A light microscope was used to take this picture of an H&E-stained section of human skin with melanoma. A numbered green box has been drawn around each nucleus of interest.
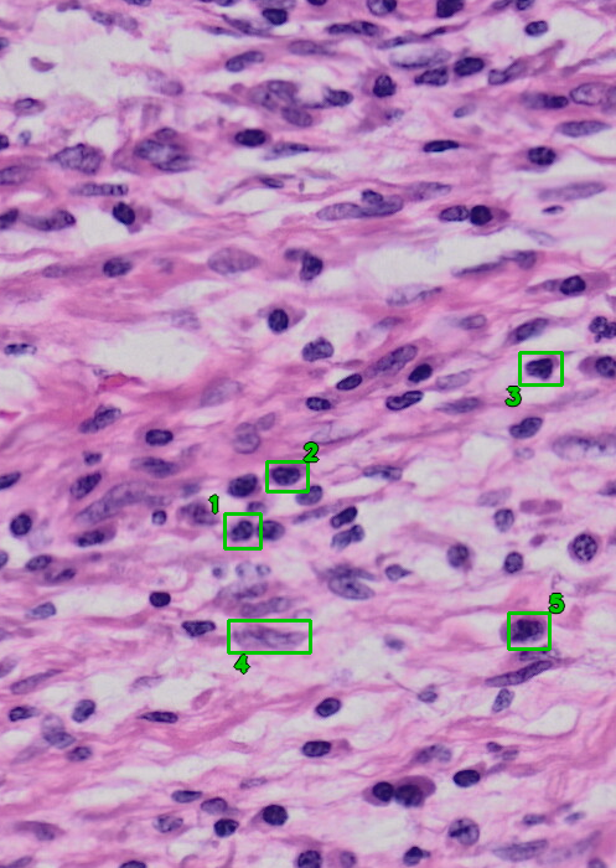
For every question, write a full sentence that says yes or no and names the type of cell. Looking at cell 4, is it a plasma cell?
No, number 4 belongs to a fibroblast or myofibroblast, not to a plasma cell.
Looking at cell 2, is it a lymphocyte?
No, number 2 identifies a plasma cell, not a lymphocyte.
